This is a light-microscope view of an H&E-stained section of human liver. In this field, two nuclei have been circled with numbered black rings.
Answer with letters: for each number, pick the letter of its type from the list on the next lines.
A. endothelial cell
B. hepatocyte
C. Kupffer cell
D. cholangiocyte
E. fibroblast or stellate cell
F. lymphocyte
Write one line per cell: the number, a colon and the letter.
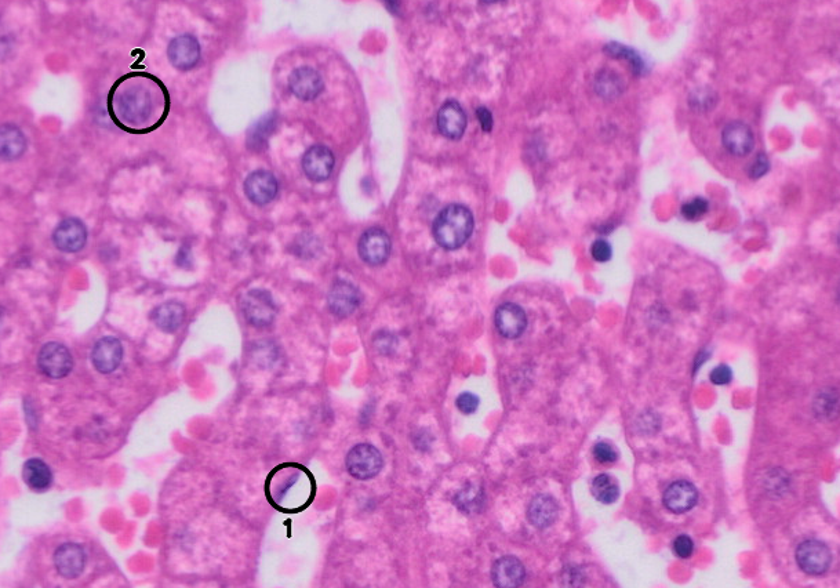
1: A
2: B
